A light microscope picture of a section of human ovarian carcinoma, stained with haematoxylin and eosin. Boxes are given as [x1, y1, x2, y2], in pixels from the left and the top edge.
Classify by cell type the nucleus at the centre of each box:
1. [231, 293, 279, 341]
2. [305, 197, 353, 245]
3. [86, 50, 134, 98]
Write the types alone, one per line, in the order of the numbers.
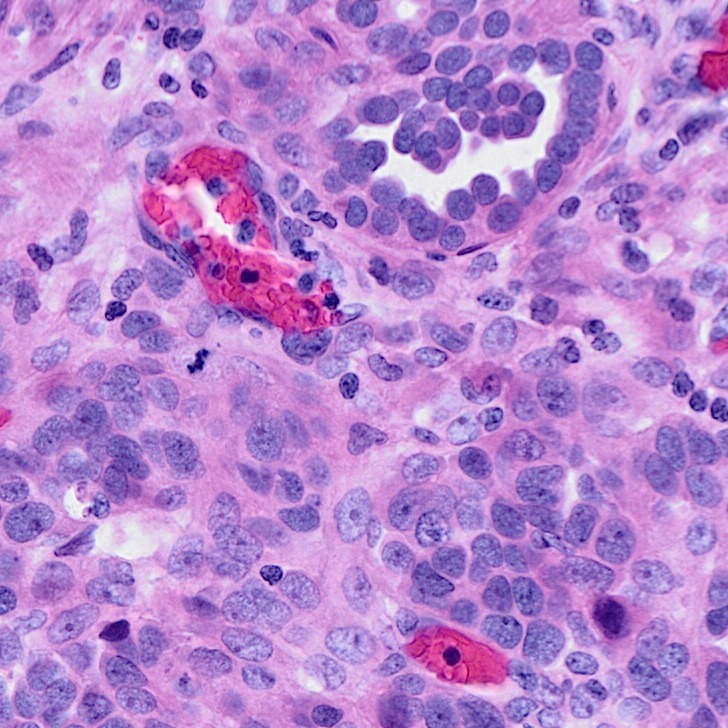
endothelial cell
lymphocyte
lymphocyte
